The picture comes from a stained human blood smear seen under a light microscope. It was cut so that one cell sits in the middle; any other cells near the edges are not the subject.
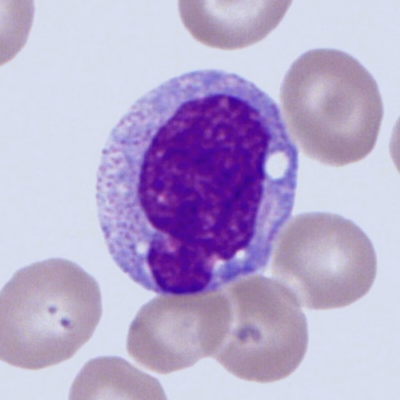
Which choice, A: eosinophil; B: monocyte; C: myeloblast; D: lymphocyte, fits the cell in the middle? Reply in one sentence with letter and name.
The middle of the crop contains a monocyte, so option B is right.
